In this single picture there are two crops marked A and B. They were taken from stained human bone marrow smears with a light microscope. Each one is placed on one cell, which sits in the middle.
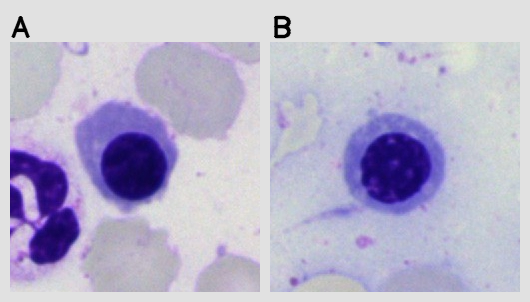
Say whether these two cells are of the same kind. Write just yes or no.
yes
